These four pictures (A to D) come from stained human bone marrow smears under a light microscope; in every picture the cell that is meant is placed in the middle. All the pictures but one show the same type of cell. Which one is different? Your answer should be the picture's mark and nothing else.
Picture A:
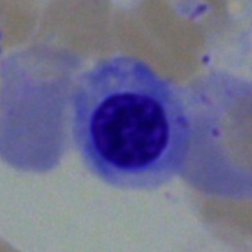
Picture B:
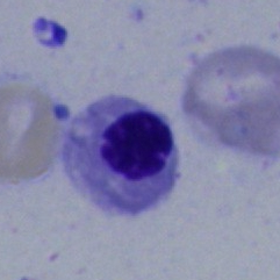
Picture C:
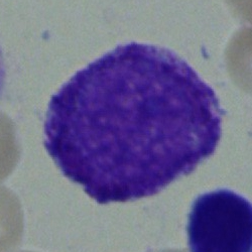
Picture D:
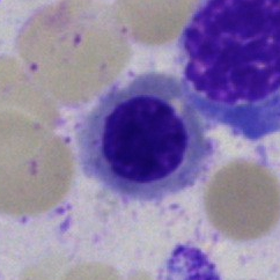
C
